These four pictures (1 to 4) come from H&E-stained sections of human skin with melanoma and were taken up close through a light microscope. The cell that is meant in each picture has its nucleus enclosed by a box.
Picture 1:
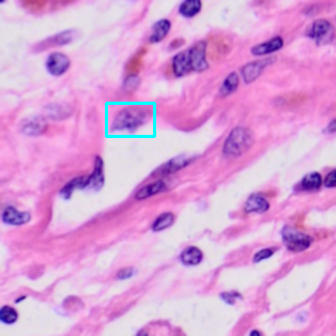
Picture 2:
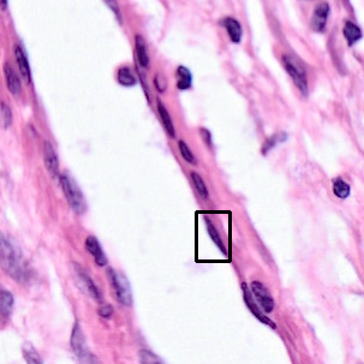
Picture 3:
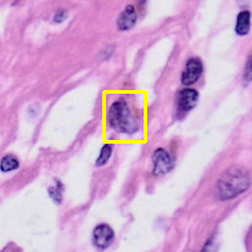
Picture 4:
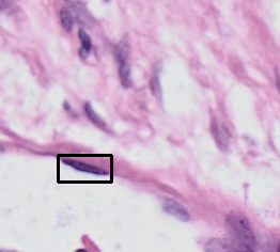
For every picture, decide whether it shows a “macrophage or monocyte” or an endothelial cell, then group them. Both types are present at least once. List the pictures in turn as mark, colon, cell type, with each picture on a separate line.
1: endothelial cell
2: endothelial cell
3: macrophage or monocyte
4: endothelial cell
